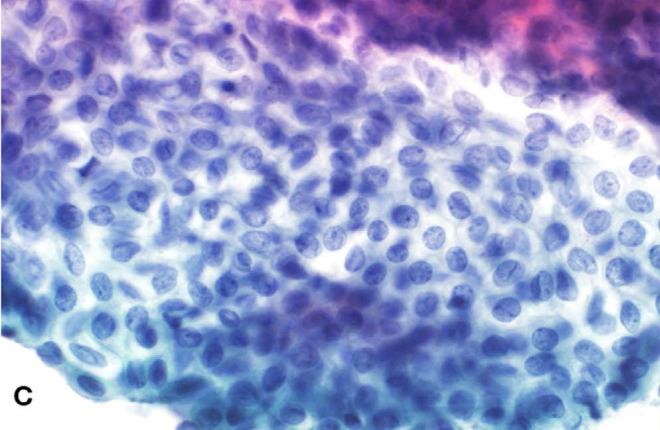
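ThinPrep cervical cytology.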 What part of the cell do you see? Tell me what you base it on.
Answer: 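Many oval nuclei show a thin line running along their long axis. Nuclei have fine, pale chromatin. Cells lie in a cohesive sheet. On this evidence: longitudinal grooves.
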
